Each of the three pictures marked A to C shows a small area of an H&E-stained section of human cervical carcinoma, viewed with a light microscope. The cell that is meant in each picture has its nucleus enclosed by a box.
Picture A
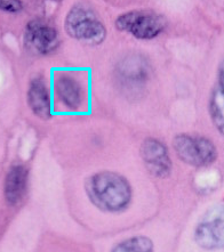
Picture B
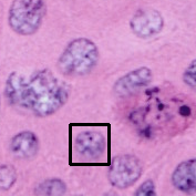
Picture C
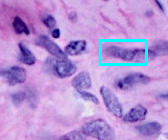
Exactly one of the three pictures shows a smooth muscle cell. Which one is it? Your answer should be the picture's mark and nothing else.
C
